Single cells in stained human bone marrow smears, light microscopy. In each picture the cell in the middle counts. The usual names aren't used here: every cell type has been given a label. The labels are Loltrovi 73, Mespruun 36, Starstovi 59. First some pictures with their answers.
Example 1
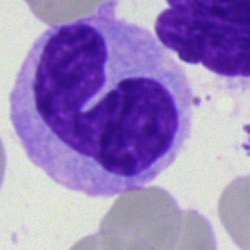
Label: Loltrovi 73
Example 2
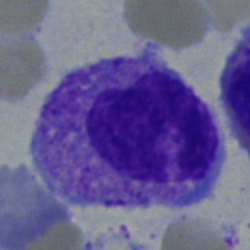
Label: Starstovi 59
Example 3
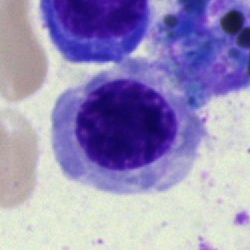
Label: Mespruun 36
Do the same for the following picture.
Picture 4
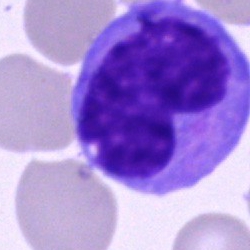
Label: Loltrovi 73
